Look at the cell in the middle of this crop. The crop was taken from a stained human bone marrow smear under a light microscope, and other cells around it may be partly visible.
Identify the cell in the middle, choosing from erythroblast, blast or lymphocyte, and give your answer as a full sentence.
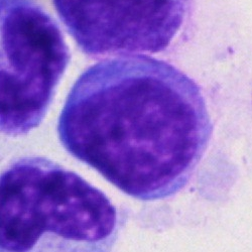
Where the crop is centred, there is a blast.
